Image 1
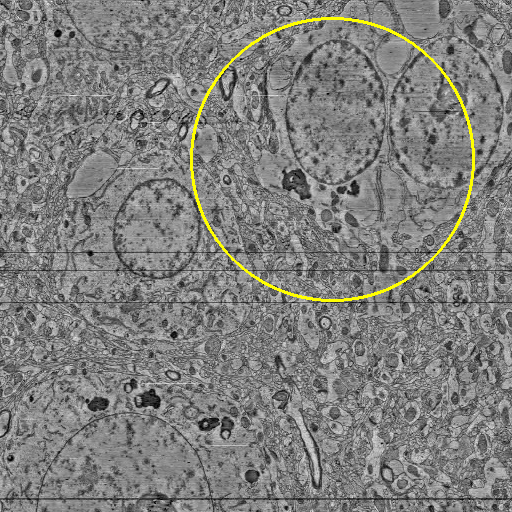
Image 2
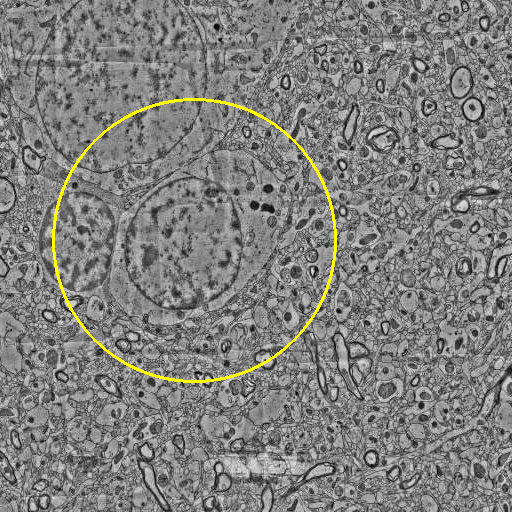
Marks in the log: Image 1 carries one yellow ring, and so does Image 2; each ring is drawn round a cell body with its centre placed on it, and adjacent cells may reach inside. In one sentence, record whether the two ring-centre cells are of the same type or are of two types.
The two cells at the ring centres, one in each image, are of two types.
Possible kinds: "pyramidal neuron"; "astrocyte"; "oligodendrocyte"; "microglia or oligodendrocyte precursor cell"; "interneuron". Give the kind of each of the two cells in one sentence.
The cell in the second picture is an interneuron, and that in the first is an astrocyte.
